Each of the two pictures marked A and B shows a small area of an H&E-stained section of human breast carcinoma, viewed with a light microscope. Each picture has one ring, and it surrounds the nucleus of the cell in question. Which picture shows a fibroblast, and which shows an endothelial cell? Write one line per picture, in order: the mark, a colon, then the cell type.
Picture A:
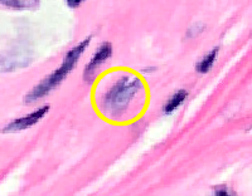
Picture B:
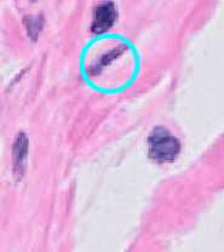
A: endothelial cell
B: fibroblast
